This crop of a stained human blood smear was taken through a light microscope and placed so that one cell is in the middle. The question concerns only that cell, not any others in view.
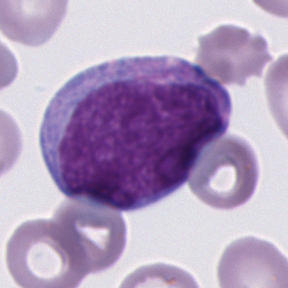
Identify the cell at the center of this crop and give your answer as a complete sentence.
Answering briefly, the cell in the middle is a promyelocyte.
